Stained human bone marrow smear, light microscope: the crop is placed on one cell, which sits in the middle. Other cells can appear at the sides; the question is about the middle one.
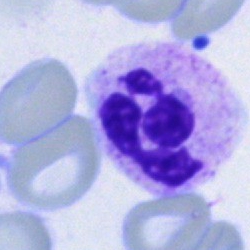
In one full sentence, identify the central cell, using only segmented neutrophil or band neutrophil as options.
In this crop, the cell at the very middle is a segmented neutrophil.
